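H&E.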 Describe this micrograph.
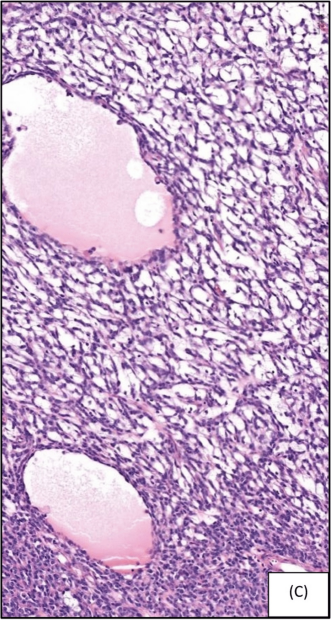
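A loose reticular area of the neoplasm with microcysts containing serum. Tumour cells with small, oval to elongated dark purple nuclei and scant pale cytoplasm are spread in an open, net-like meshwork, leaving clear pale spaces between thin strands. Two rounded microcysts are filled with homogeneous pale pink fluid, lined directly by the surrounding cells without a distinct epithelial lining. Towards the lower edge the cells become more crowded and their nuclei more closely set, marking the change toward a denser area.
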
